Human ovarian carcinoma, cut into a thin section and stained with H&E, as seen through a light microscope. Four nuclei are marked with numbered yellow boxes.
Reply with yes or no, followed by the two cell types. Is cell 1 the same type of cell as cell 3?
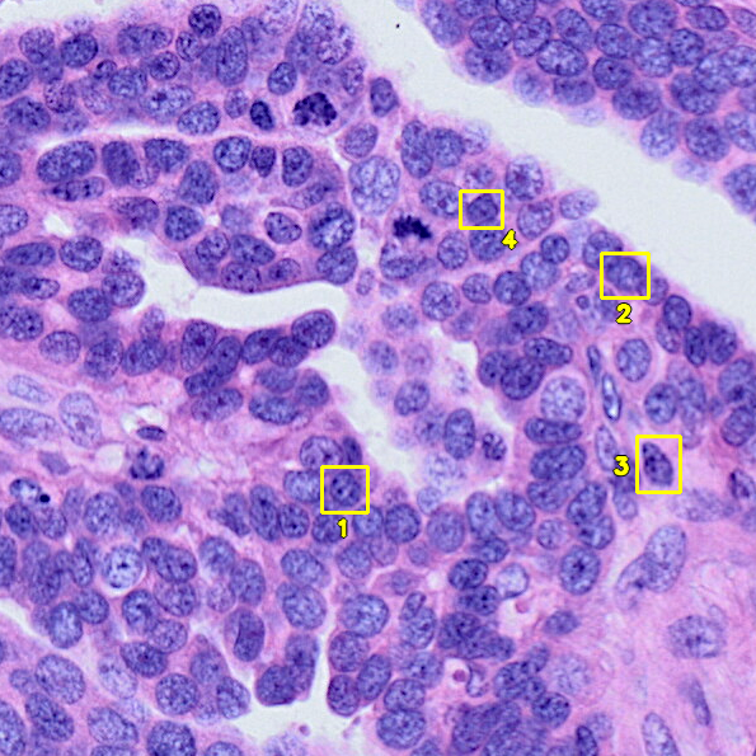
No, what is marked as cell 1 is a carcinoma cell, and what is marked as cell 3 is a macrophage or monocyte.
